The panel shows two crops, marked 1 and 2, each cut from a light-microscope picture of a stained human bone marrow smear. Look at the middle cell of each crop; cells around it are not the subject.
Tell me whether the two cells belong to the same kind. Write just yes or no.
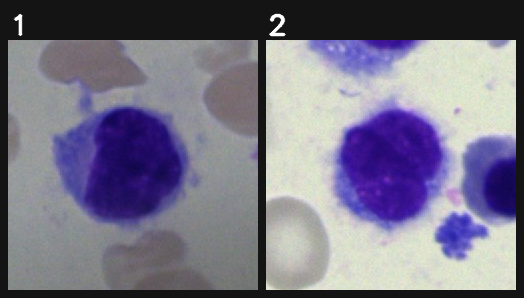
yes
